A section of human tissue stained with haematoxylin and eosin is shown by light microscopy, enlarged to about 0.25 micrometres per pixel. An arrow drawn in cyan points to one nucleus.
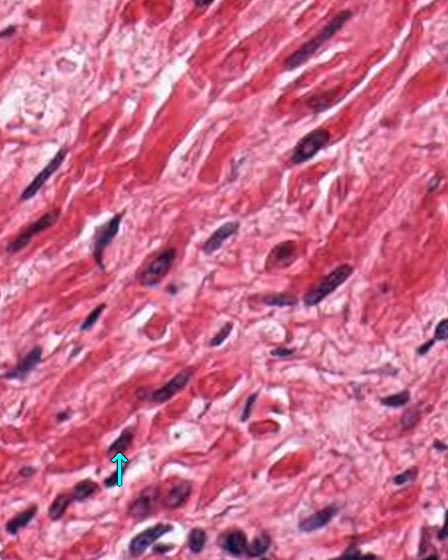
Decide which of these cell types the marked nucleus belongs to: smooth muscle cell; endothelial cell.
smooth muscle cell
